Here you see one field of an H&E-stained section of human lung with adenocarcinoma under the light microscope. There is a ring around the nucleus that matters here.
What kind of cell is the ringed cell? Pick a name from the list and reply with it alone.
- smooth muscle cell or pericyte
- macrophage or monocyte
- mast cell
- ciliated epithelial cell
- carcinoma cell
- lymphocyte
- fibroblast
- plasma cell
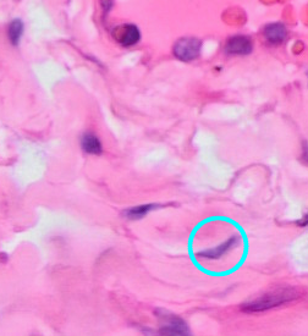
fibroblast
